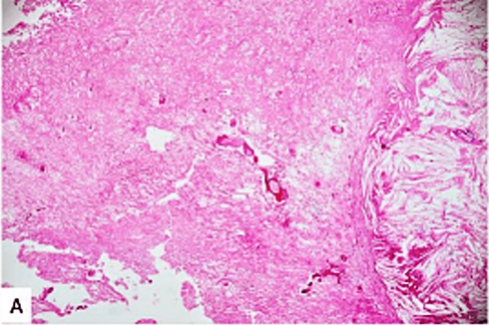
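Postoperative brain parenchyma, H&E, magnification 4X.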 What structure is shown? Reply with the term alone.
Cholesterol clefts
